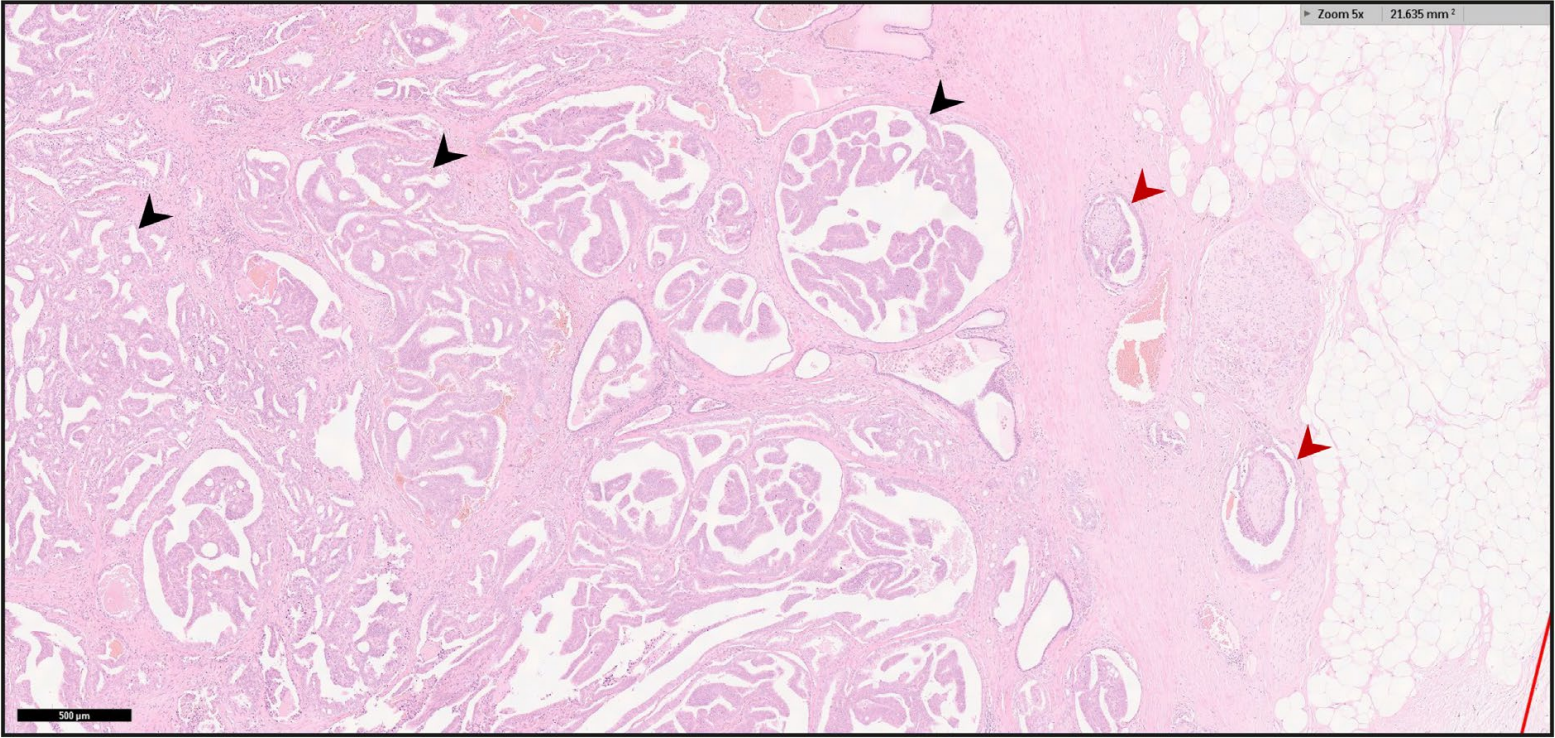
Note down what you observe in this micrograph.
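This low-power view shows a gland-forming cancer. Large, crowded glands fill the left and middle of the field. Each is lined by tall, stratified epithelium with pink cytoplasm that folds into papillary fronds and bridges, leaving slit-like and rounded spaces. Some of the spaces hold pink secretions or blood. The glands sit close together in a fibrous stroma. Toward the right, a dense, pale pink band of fibromuscular tissue separates the main tumour from fat made of large, clear, empty-looking fat cells. A few small tumour glands lie past this band, right next to the fat. This marks spread of the tumour beyond the organ.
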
